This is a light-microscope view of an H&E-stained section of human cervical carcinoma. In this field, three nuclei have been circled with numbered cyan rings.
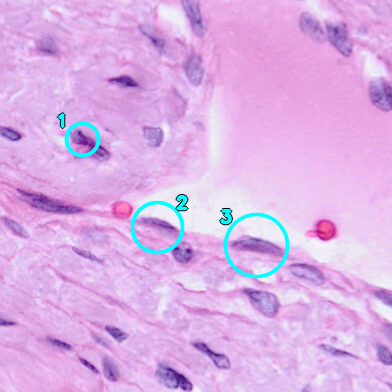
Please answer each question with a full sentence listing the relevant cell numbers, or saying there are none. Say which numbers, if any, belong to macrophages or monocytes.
Cell 1 is a macrophage or monocyte; the remaining numbered cells are not.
